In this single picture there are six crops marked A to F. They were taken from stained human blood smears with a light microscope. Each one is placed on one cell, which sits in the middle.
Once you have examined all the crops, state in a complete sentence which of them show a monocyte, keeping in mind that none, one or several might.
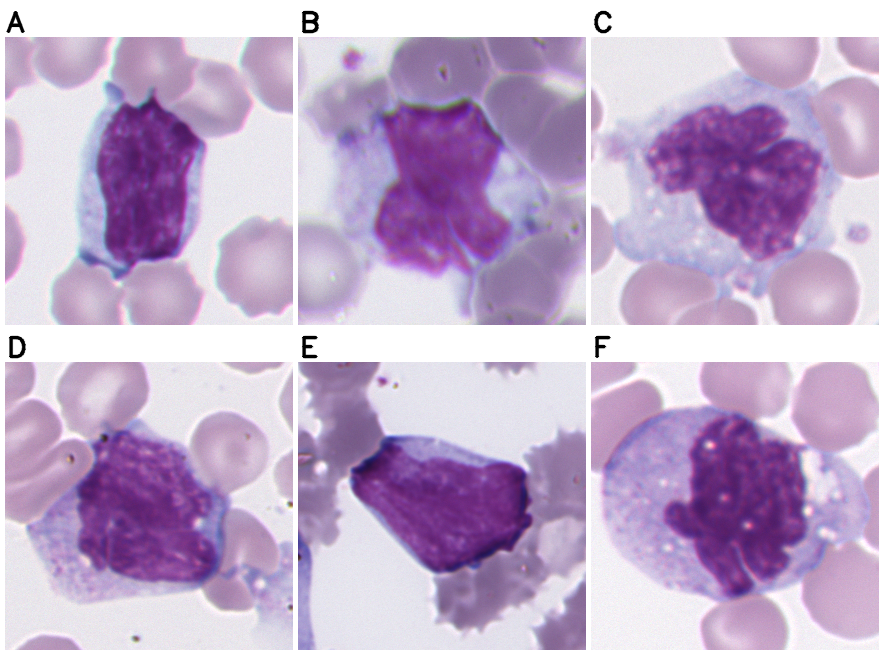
Found at the centre of crops B, C, D and F are monocytes.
